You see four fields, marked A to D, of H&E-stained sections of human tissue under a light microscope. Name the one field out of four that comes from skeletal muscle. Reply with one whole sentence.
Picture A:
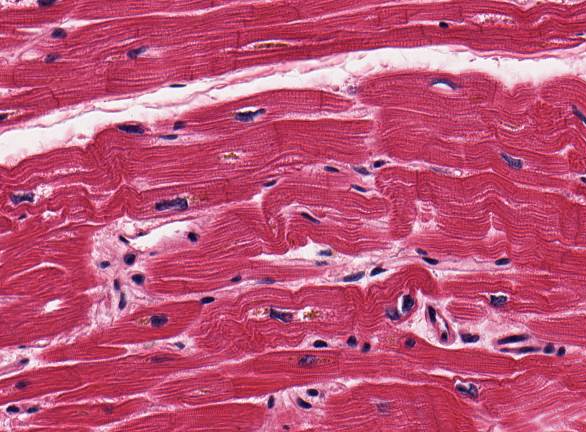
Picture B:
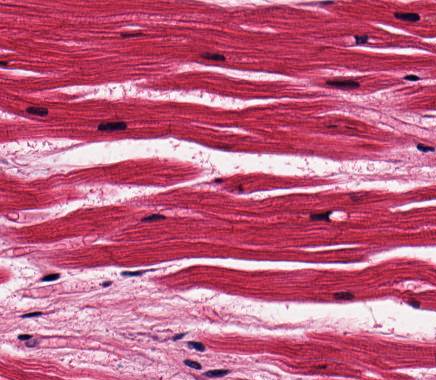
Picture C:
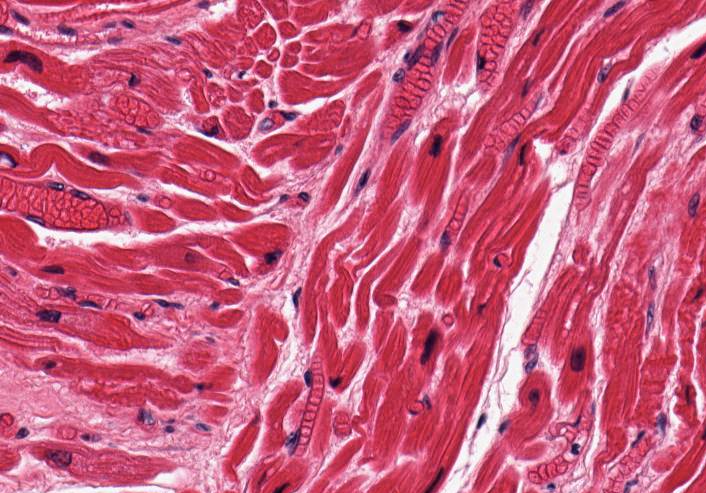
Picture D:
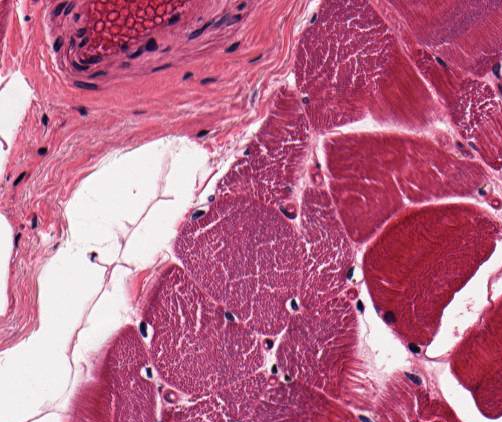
Picture D is the field that comes from skeletal muscle.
